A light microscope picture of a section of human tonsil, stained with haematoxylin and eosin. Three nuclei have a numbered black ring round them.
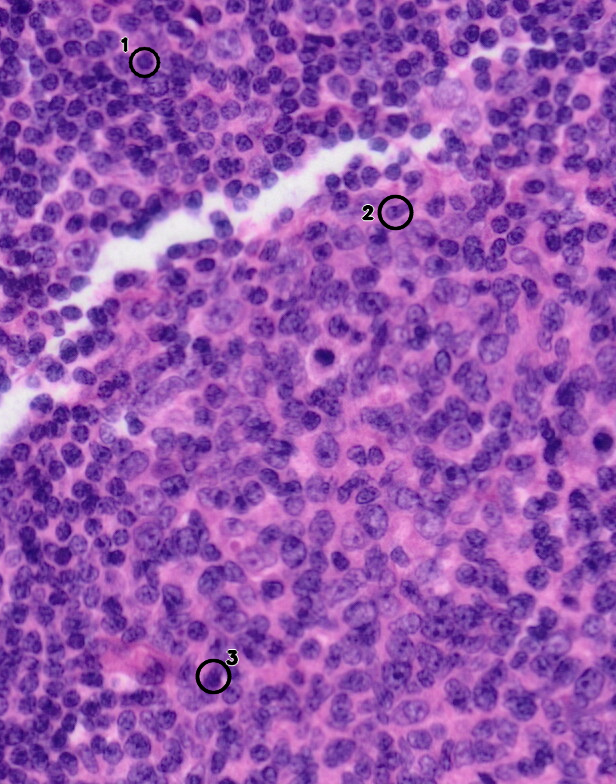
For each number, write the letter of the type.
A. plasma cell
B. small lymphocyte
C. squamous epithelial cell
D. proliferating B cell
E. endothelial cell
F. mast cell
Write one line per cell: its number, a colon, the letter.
1: B
2: D
3: D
